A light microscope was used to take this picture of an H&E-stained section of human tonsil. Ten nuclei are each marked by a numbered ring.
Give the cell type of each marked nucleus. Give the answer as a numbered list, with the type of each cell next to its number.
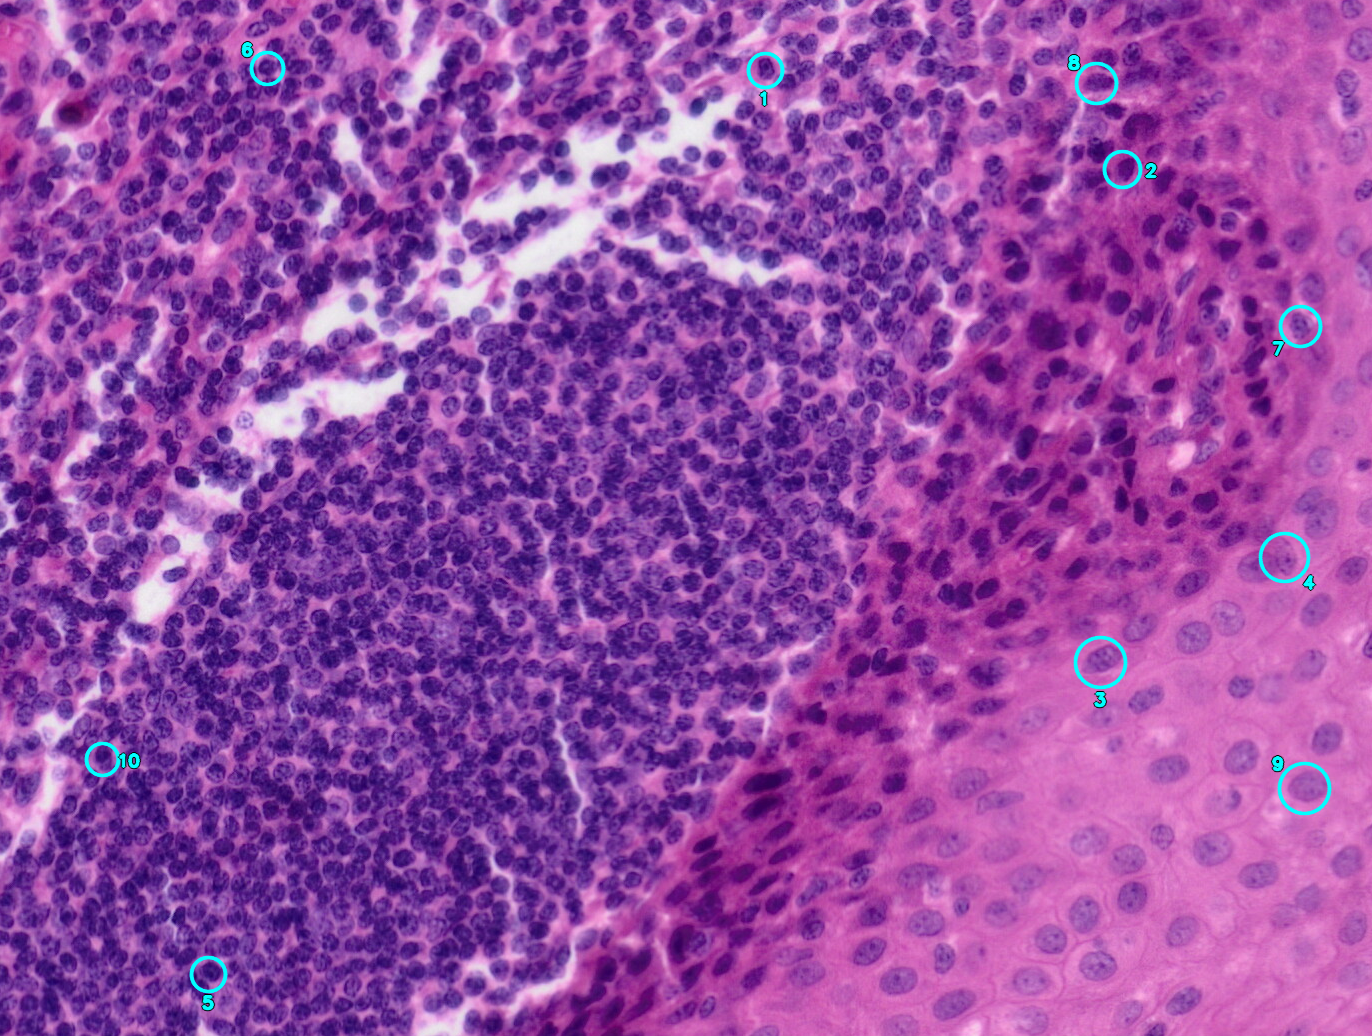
1. plasma cell
2. squamous epithelial cell
3. squamous epithelial cell
4. squamous epithelial cell
5. small lymphocyte
6. small lymphocyte
7. squamous epithelial cell
8. squamous epithelial cell
9. squamous epithelial cell
10. small lymphocyte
